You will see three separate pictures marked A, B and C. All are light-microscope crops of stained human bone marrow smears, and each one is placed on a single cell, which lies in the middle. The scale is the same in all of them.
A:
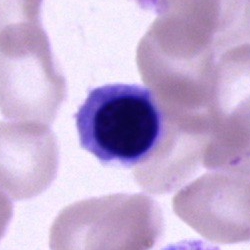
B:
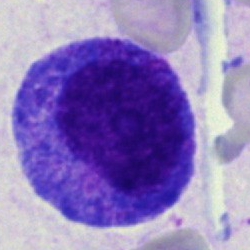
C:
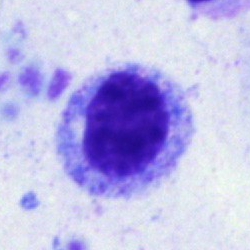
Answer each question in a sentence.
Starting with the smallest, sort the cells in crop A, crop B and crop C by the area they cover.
Going up, they run A, C, B.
